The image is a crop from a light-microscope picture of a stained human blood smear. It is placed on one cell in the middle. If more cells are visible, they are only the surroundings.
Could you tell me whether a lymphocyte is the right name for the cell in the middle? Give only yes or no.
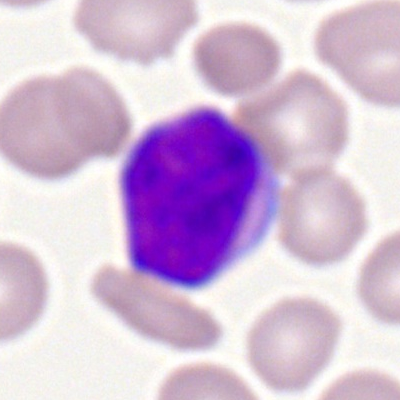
no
